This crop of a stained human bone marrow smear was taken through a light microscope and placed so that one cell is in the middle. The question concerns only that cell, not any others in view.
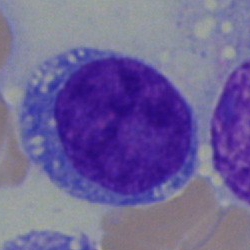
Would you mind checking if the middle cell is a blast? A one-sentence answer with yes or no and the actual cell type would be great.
Yes, the cell in the center of this crop is a blast.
